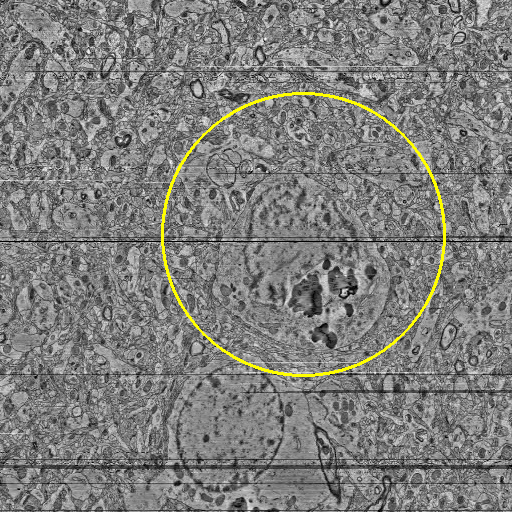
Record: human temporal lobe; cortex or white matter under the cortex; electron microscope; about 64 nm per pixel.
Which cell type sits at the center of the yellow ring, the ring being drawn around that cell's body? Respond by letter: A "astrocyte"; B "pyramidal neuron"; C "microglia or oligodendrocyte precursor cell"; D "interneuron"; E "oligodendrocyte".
D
